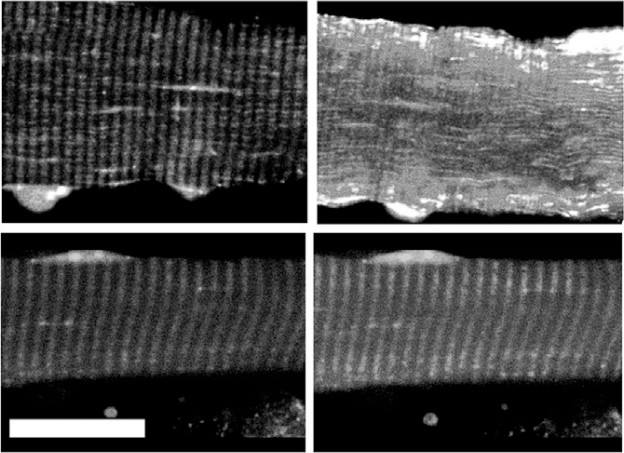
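These are isolated skeletal muscle fibers seen by fluorescence, two fibers each shown twice side by side. Each fiber is a long, wide, unbranched cylinder crossing the whole field, its body marked by fine, evenly spaced transverse bright bands, giving a regular striated look; a few thin longitudinal bright streaks lie among the bands. Small bright oval bodies, likely nuclei or debris, sit at the fiber edges. In the upper pair the right-hand image is far brighter overall, and the transverse banding is blurred into a diffuse, streaky glow. In the lower pair both images look alike, the banding staying crisp and the brightness little changed.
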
